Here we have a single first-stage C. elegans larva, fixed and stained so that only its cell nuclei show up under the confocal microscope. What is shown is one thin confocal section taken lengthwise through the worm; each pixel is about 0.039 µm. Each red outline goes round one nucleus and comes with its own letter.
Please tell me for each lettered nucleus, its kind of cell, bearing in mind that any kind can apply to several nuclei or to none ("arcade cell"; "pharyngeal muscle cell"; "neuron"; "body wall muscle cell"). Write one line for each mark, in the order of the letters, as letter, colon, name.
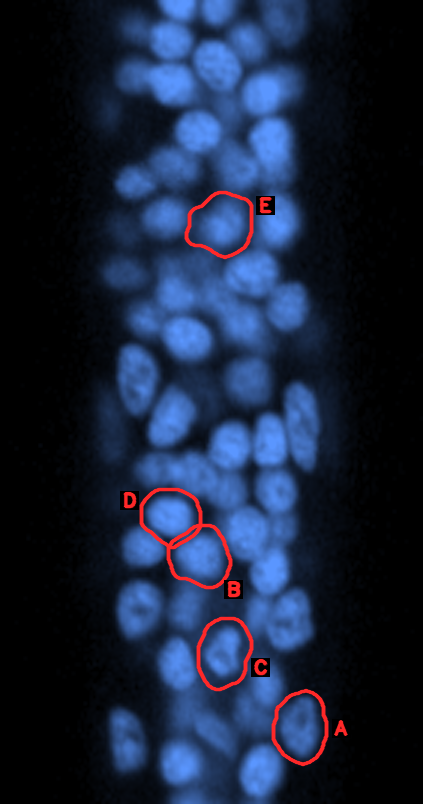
A: body wall muscle cell
B: neuron
C: pharyngeal muscle cell
D: neuron
E: neuron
